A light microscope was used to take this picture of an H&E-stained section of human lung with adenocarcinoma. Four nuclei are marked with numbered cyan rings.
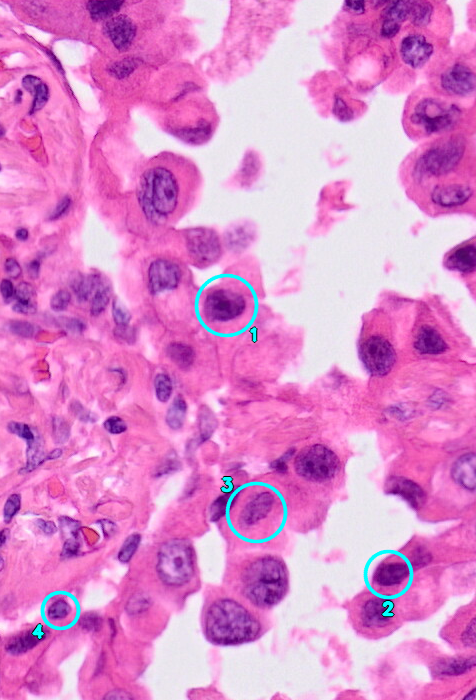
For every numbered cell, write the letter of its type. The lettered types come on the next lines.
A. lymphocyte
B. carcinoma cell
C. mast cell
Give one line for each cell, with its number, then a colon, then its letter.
1: B
2: B
3: B
4: A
